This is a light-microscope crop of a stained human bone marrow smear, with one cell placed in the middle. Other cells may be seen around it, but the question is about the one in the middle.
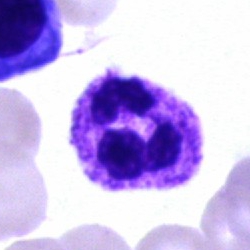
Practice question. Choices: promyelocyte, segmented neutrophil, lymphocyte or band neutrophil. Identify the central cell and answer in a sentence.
For this crop, the cell in the middle is a segmented neutrophil.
